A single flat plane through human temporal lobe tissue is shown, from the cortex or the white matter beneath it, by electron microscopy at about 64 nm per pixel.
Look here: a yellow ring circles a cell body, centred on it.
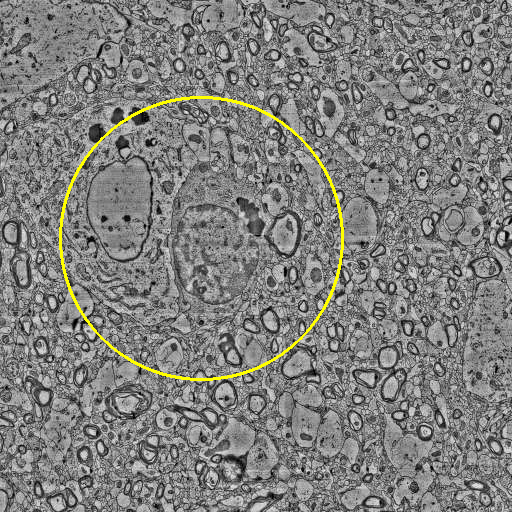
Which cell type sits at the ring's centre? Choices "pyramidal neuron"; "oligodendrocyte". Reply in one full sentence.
The cell at the centre of the yellow ring in the picture is an oligodendrocyte.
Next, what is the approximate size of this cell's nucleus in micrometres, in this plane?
In this plane the ringed cell's nucleus is roughly 6 micrometres across.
